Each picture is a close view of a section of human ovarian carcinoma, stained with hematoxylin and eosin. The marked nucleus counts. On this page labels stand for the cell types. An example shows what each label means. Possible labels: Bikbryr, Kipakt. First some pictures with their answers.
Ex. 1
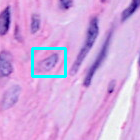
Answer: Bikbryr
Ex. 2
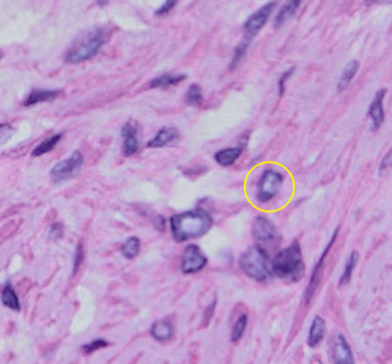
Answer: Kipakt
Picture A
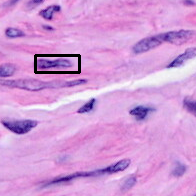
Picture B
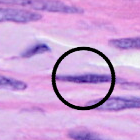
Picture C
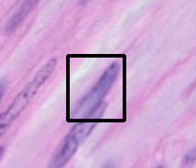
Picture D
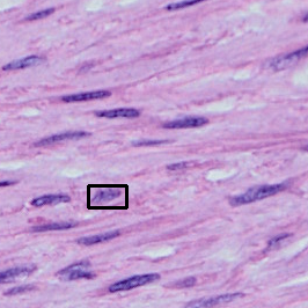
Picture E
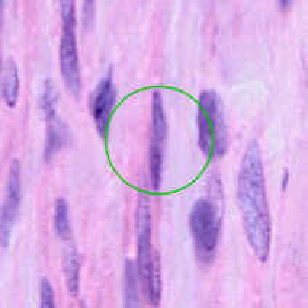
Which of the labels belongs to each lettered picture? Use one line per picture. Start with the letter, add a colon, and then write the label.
A: Bikbryr
B: Bikbryr
C: Bikbryr
D: Kipakt
E: Bikbryr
